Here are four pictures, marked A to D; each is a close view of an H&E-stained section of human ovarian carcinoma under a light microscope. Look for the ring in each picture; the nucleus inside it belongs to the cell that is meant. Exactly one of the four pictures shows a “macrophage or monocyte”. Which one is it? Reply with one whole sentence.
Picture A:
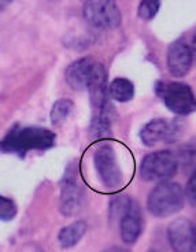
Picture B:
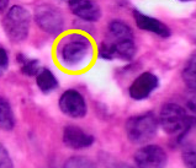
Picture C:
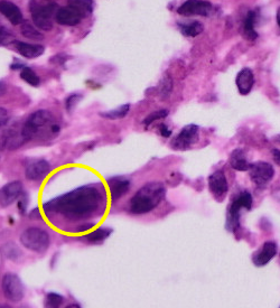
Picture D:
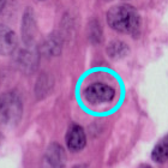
Picture D is the one that shows the “macrophage or monocyte”.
